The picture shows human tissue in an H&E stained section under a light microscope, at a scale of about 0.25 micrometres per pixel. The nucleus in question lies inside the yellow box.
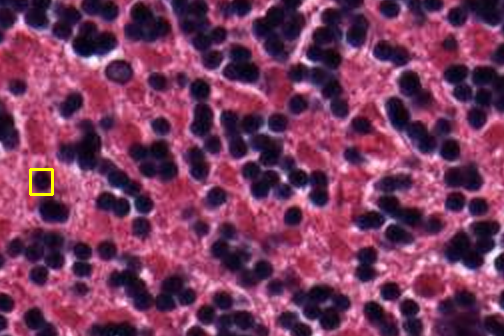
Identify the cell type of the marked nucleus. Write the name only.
cerebellar granule cell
